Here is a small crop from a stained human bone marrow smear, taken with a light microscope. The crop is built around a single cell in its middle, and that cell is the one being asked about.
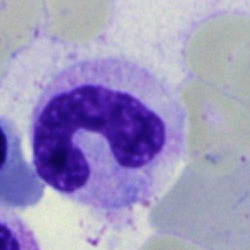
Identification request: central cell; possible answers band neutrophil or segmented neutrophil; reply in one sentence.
The cell featured at the centre of this crop is a band neutrophil.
